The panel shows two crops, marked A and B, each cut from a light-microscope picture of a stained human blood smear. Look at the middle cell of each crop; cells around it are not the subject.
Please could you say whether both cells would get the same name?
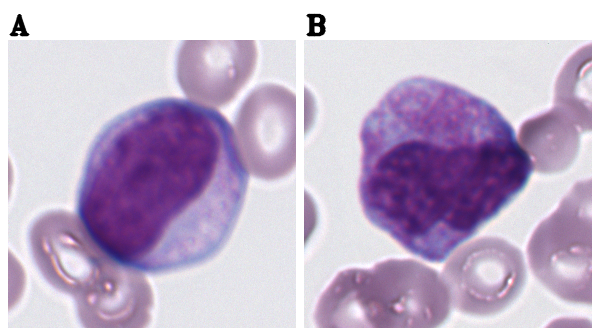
yes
